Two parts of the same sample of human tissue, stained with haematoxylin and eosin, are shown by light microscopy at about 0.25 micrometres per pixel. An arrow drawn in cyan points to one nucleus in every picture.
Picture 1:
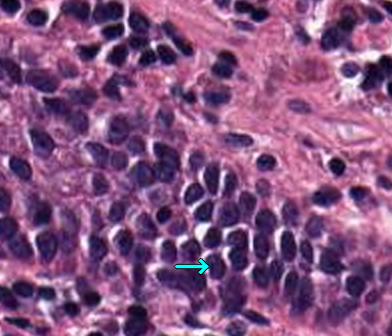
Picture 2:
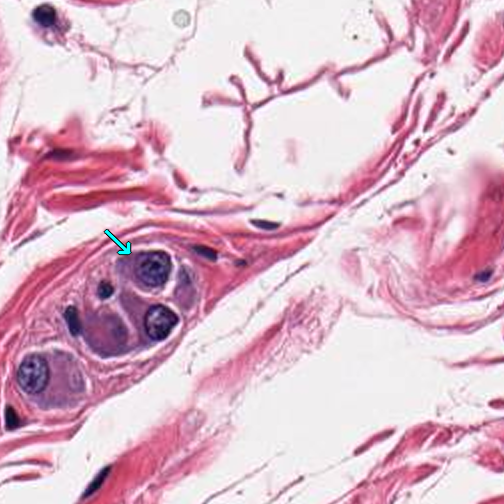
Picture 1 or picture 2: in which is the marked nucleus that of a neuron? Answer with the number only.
2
